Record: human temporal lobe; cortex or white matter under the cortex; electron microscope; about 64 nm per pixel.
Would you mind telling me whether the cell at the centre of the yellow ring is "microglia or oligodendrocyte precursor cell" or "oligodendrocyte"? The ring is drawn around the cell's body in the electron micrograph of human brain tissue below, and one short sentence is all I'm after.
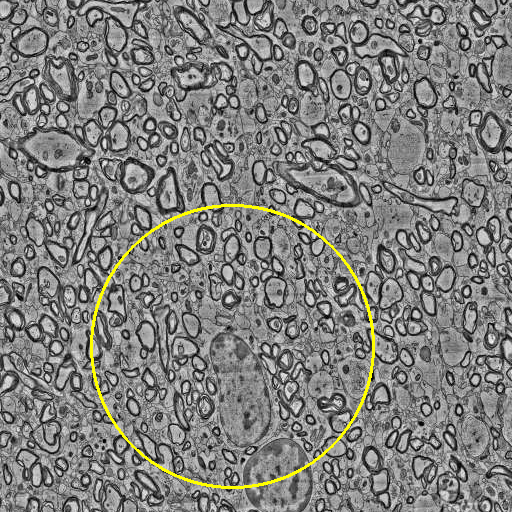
In the centre of the ring lies a microglial cell or oligodendrocyte precursor cell.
